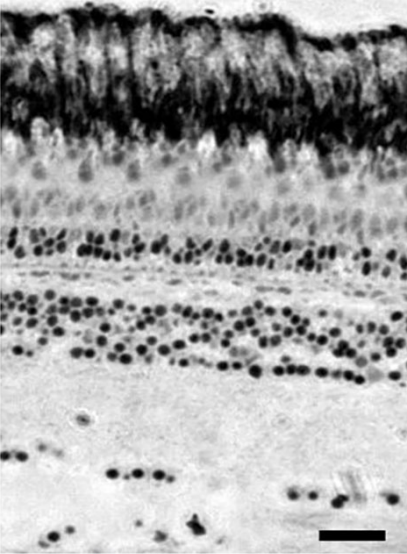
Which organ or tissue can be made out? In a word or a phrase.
Retinal.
